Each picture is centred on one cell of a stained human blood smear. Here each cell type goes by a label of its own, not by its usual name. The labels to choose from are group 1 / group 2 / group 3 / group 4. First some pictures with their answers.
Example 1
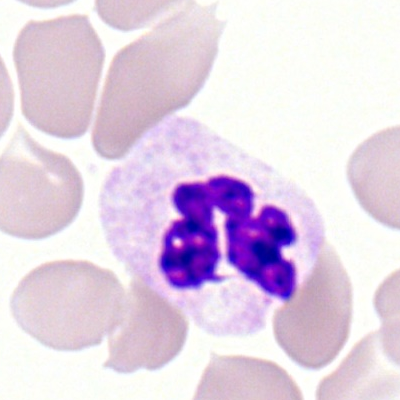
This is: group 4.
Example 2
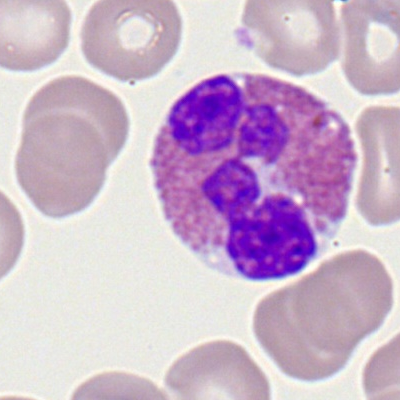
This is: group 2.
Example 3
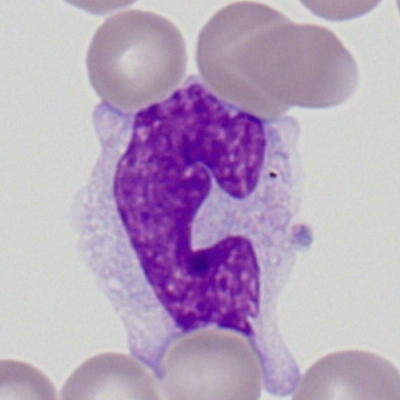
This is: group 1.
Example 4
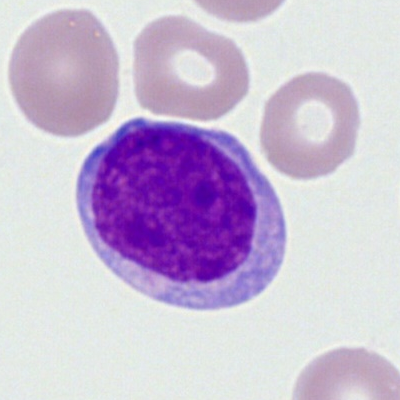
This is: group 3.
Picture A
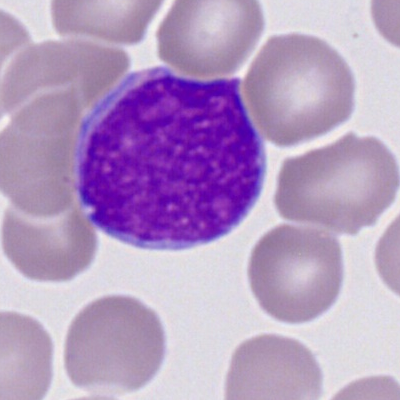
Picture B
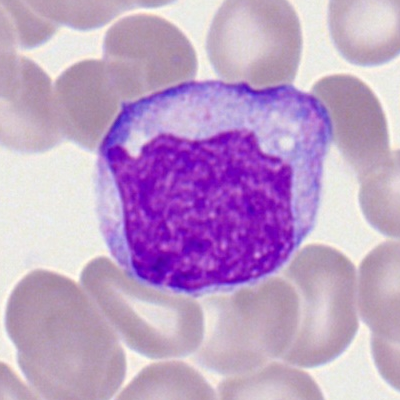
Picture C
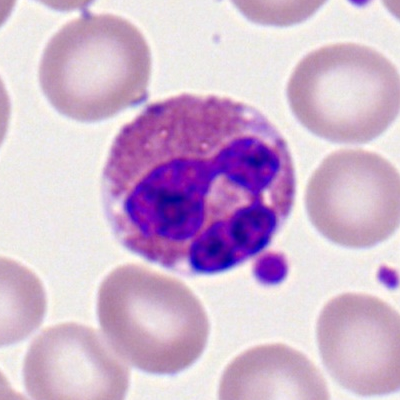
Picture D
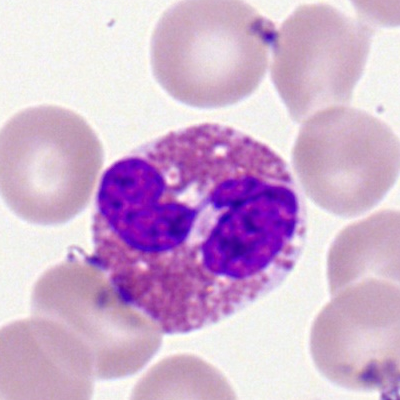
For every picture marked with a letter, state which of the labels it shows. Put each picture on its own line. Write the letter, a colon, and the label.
A: group 3.
B: group 1.
C: group 2.
D: group 2.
